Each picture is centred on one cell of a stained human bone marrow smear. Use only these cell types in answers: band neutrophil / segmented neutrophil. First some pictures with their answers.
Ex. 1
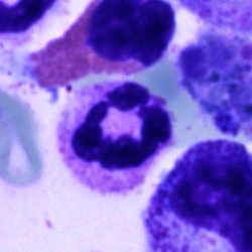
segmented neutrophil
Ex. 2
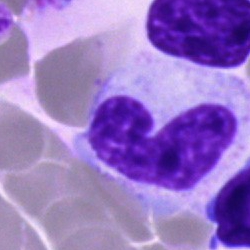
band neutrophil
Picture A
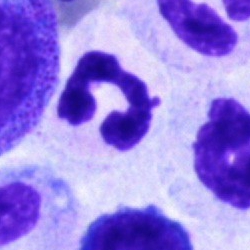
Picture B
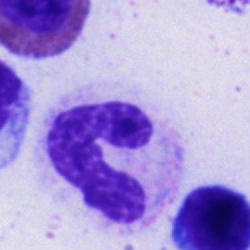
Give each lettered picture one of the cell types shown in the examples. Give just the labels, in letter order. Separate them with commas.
segmented neutrophil, band neutrophil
